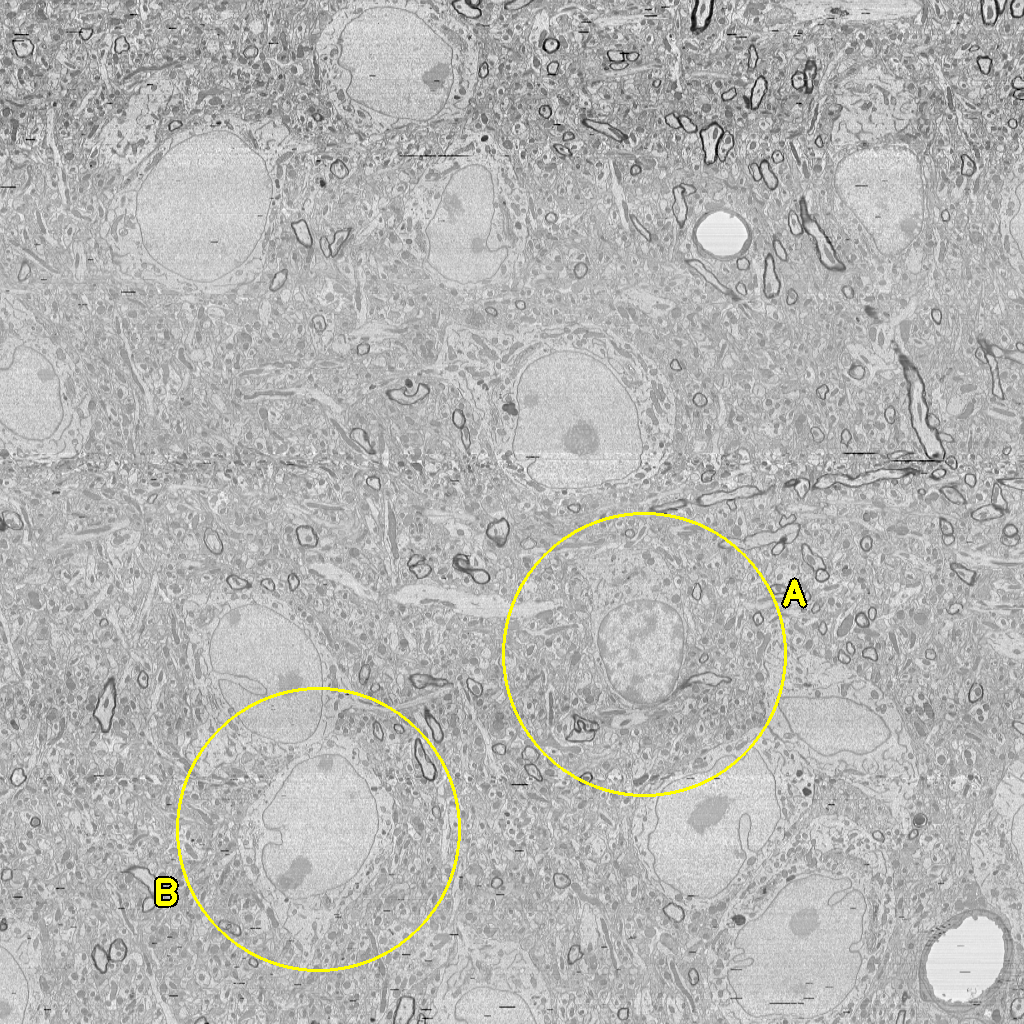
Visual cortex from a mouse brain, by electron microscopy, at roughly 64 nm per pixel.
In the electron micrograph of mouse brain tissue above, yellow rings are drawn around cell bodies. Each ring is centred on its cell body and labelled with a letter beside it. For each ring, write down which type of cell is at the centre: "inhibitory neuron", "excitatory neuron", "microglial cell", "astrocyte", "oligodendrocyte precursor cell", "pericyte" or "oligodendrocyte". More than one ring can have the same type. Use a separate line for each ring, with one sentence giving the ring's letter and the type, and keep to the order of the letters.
At the centre of ring A there is an oligodendrocyte.
At the centre of ring B there is an excitatory neuron.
